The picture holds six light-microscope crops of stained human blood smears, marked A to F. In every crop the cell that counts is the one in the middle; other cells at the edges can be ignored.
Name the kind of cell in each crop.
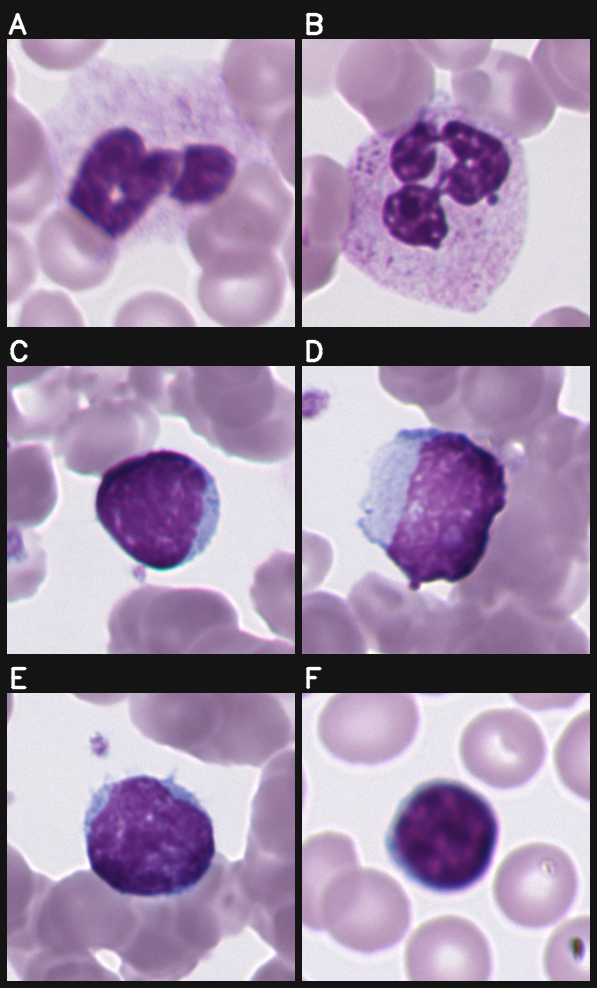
A: segmented neutrophil
B: segmented neutrophil
C: typical lymphocyte
D: typical lymphocyte
E: typical lymphocyte
F: typical lymphocyte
